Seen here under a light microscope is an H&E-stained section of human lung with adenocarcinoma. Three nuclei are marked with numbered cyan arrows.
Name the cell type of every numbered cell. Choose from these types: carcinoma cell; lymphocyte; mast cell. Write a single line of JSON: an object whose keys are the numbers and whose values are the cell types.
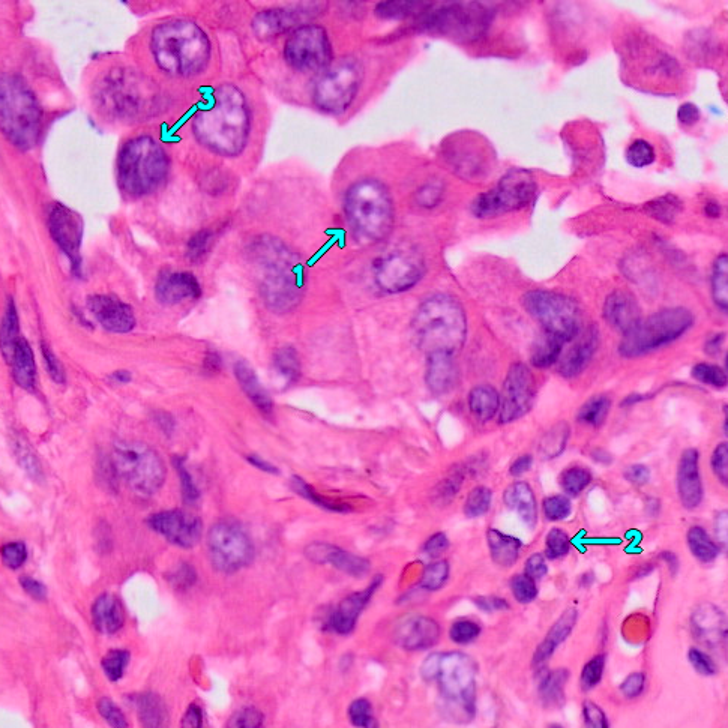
{"1": "carcinoma cell", "2": "lymphocyte", "3": "carcinoma cell"}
